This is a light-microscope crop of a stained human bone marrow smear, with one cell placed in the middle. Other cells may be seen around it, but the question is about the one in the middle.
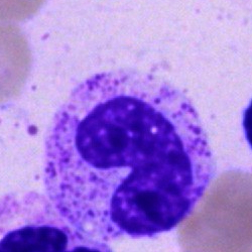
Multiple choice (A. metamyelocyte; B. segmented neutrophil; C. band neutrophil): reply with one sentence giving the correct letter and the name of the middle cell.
In this crop the middle cell is a band neutrophil, so option C is the correct answer.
